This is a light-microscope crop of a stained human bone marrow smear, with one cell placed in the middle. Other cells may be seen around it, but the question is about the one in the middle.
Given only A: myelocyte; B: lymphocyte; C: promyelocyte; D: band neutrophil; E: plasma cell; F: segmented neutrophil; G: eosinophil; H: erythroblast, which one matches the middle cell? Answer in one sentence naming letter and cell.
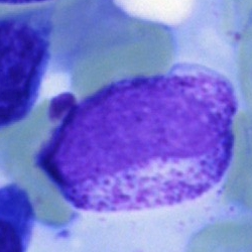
As the central cell is a myelocyte, option A is correct.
